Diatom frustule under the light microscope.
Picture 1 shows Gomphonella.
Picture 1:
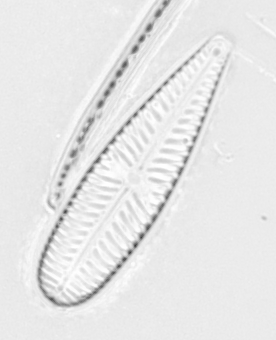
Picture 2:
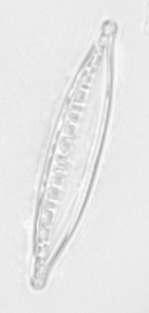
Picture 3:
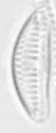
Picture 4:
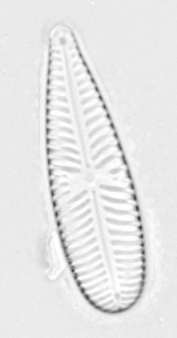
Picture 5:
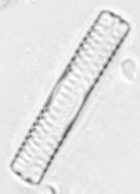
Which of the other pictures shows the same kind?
Picture 4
